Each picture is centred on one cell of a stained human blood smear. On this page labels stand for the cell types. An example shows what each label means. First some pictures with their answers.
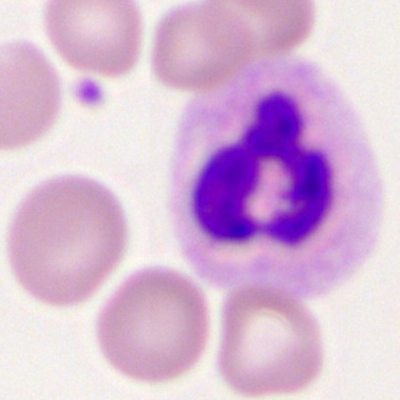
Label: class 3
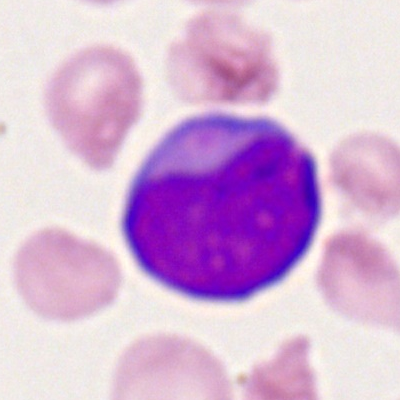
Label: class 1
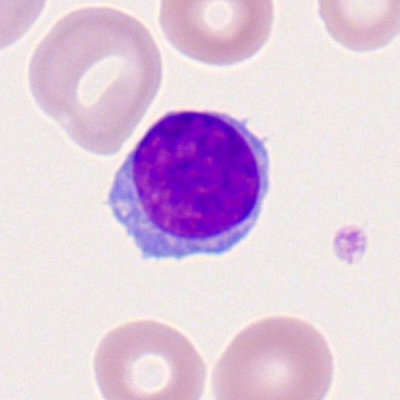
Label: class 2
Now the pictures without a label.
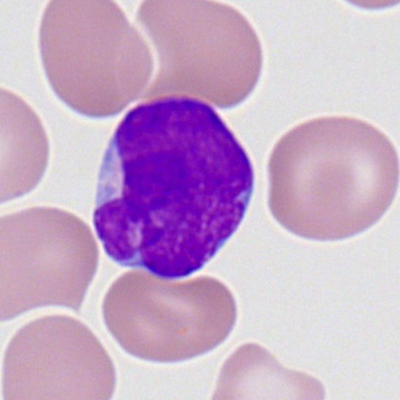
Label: class 1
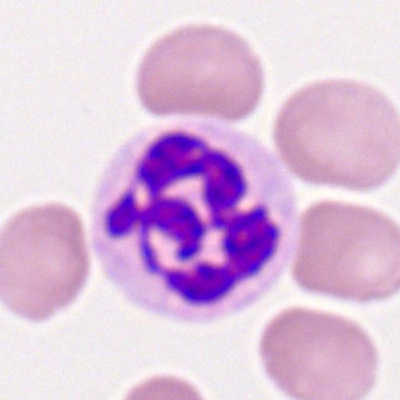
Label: class 3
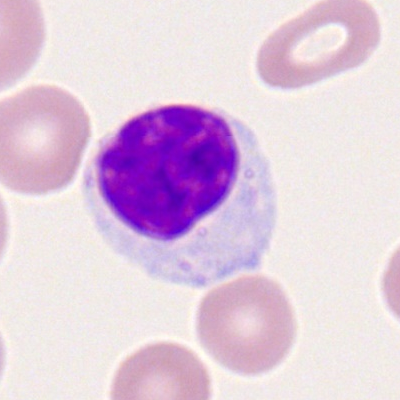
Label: class 2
